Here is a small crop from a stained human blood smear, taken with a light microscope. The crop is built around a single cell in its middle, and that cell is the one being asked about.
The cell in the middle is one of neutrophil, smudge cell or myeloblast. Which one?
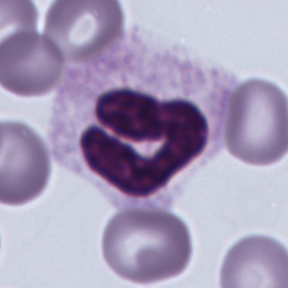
neutrophil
